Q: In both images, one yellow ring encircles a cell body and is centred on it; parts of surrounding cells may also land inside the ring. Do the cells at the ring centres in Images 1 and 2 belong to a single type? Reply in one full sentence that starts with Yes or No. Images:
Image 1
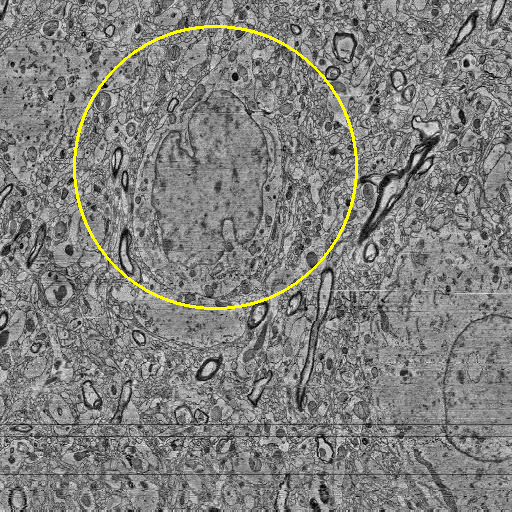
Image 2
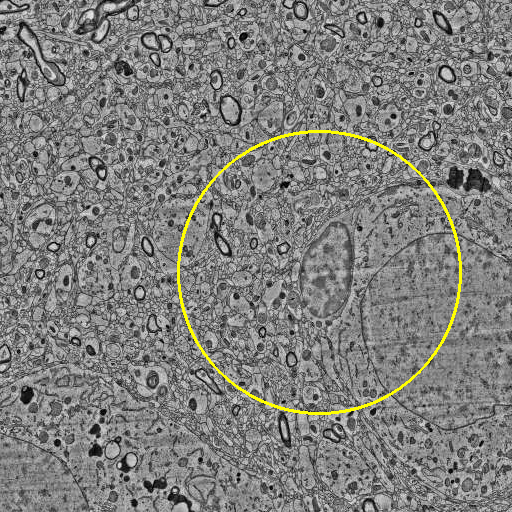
No, the cells at the ring centres in Images 1 and 2 are of two types.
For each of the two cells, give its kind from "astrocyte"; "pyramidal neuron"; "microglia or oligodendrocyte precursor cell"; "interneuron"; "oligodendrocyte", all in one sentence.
The first picture has an interneuron in its ring, the second has an oligodendrocyte.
